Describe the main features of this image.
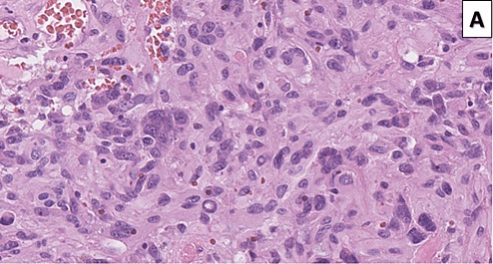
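Tumor tissue with marked cellular pleomorphism, made of densely packed spindle-shaped and polygonal cells in a pink fibrillary background. Nuclei vary greatly in size and shape, from small oval ones to large, dark, irregular ones, and some cells are large with abundant pink cytoplasm. Red blood cells are seen in the upper left corner.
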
